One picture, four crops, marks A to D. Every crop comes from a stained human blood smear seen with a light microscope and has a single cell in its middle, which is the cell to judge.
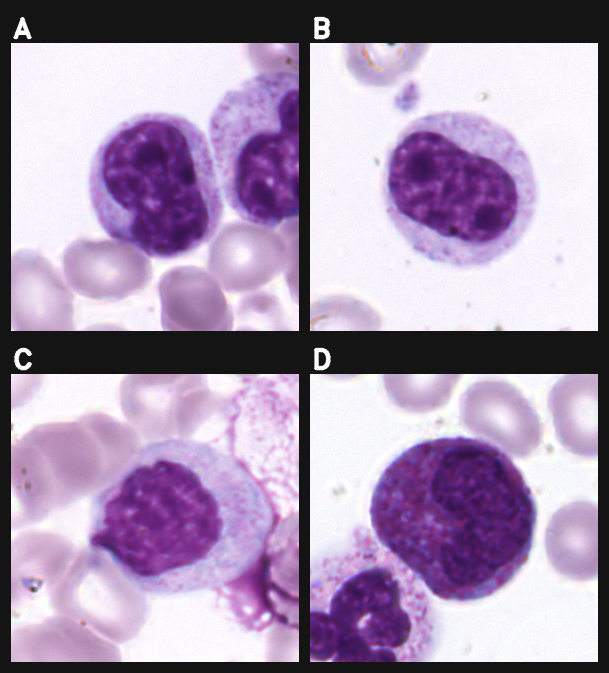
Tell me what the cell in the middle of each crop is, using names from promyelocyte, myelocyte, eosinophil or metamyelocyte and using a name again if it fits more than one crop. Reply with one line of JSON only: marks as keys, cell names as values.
{"A": "metamyelocyte", "B": "metamyelocyte", "C": "myelocyte", "D": "eosinophil"}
